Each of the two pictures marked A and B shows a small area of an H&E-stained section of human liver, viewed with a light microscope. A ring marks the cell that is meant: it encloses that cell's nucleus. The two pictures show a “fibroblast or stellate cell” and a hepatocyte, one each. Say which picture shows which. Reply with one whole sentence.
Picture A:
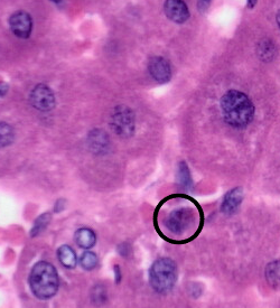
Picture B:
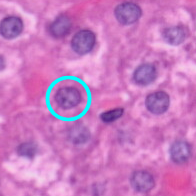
In picture A the cell is a “fibroblast or stellate cell”; in picture B, a hepatocyte.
